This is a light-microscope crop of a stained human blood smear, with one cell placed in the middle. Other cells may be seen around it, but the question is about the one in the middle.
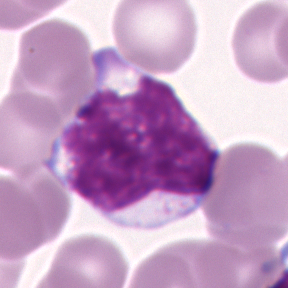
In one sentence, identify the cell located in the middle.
The central element of this crop is a cell, namely a large granular lymphocyte.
